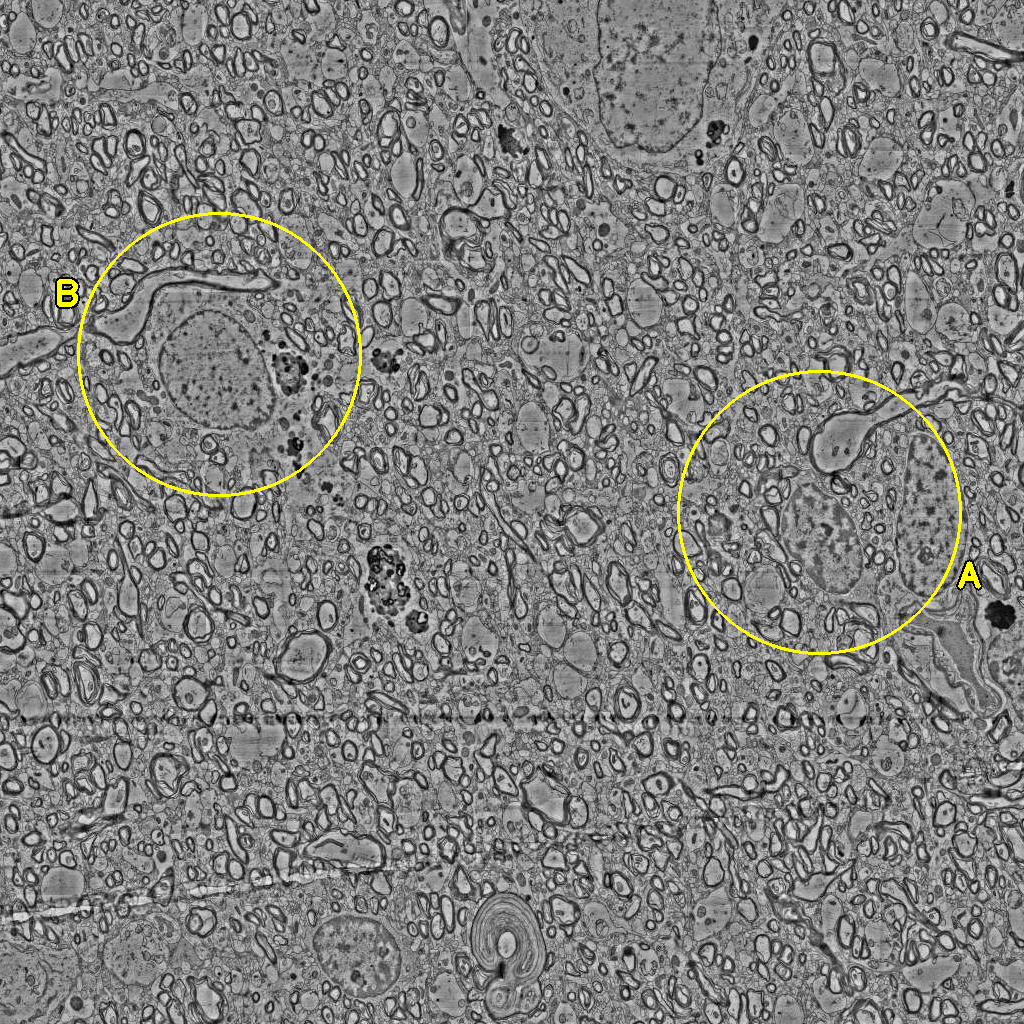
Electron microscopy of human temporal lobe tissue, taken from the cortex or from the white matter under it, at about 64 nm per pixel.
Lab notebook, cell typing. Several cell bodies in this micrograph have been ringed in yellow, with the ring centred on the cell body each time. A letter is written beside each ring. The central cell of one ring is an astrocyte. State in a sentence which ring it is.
It is ring B.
